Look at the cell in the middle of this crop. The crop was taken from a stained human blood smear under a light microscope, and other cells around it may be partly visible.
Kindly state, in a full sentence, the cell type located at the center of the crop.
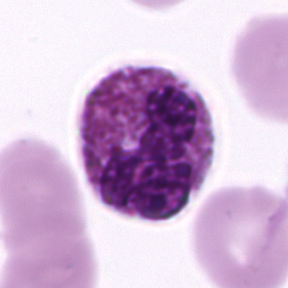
The centrally located cell in the crop is an eosinophil.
